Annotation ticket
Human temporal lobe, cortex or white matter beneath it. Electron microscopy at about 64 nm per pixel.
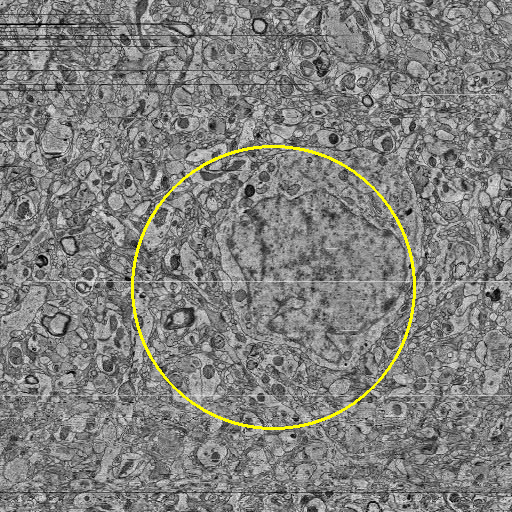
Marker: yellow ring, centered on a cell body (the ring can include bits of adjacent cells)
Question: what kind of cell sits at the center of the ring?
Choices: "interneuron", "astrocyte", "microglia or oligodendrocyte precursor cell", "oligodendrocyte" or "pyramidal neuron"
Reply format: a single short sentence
The ring is centered on an interneuron.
